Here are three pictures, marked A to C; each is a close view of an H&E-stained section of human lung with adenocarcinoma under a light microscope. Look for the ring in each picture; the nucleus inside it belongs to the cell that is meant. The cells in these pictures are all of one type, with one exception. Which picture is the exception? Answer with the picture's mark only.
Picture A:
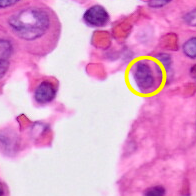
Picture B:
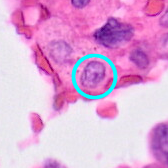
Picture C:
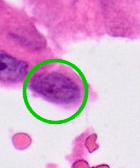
C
